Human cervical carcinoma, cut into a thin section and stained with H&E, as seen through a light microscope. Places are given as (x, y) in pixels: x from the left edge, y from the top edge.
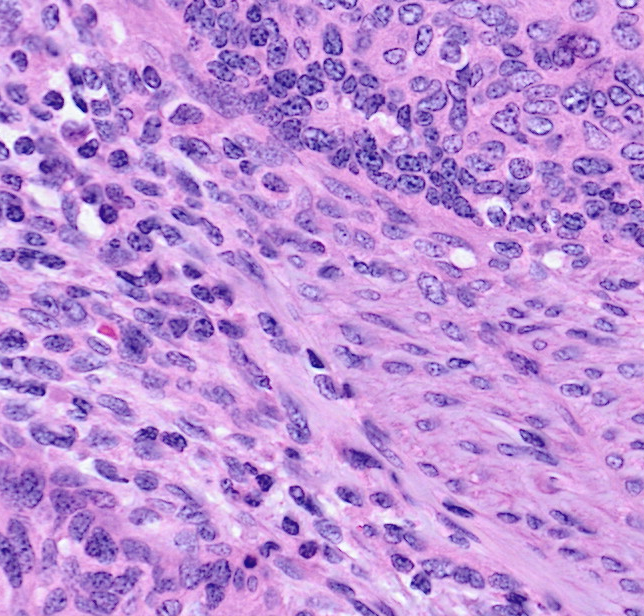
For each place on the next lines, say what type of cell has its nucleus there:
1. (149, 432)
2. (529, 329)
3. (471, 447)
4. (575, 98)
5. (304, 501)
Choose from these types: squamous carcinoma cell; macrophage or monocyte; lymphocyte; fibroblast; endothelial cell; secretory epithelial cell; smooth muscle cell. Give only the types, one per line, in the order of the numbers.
lymphocyte
smooth muscle cell
smooth muscle cell
squamous carcinoma cell
lymphocyte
